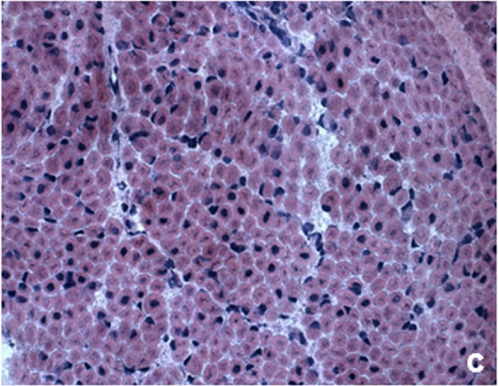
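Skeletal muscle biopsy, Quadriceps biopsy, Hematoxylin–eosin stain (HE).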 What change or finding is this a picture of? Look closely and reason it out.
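Large central nuclei. The nuclei are large relative to the small fibres.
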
